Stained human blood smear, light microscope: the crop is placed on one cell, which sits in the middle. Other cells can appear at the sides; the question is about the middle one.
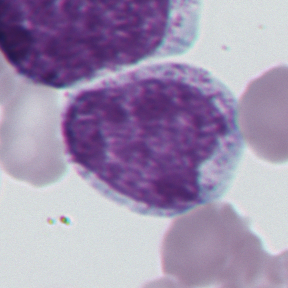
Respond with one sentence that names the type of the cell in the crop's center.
This particular crop is centered on a myelocyte.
